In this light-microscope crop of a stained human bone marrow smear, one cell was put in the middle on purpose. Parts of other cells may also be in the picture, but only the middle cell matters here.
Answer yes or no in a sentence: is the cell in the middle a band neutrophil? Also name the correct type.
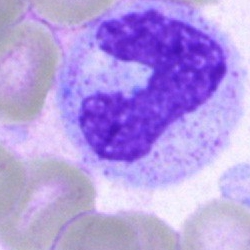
Yes, the cell lying in the centre of the crop is identified as a band neutrophil.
